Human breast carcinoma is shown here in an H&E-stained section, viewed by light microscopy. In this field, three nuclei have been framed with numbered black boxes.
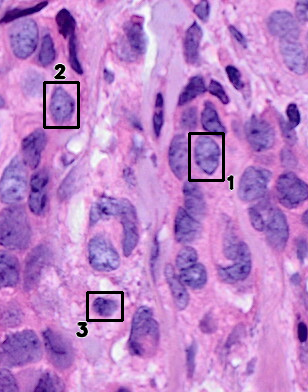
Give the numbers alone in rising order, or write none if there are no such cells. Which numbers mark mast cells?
3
